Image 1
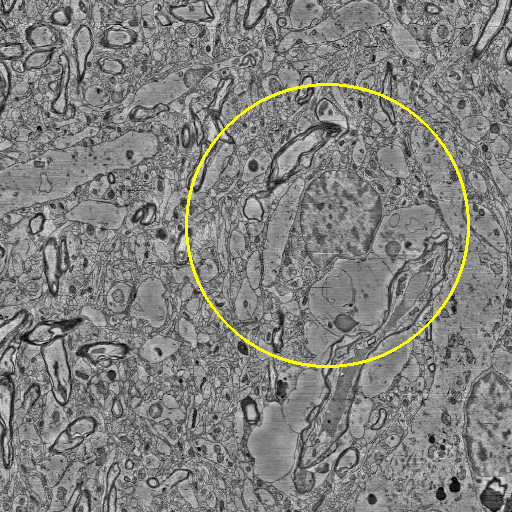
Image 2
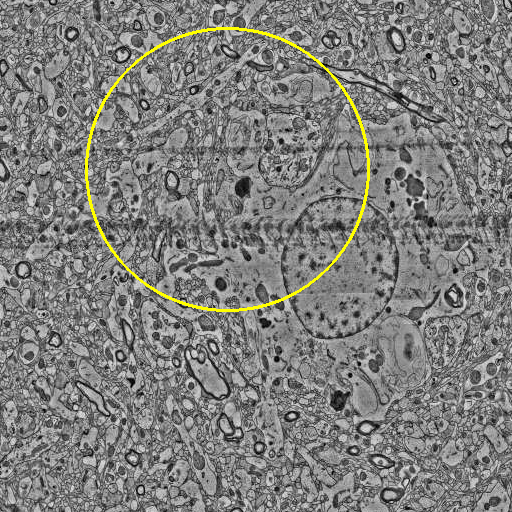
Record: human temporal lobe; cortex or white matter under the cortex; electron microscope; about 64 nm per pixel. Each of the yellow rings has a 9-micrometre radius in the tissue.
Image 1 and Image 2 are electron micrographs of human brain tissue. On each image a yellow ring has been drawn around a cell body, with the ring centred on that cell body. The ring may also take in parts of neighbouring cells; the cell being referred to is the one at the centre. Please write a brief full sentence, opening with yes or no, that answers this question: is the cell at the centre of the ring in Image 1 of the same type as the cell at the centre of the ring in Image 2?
Yes, both cells are of the same type.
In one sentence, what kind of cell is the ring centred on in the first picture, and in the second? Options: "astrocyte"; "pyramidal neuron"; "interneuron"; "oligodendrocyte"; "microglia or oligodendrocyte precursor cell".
Each cell at the centre of a ring is an oligodendrocyte.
